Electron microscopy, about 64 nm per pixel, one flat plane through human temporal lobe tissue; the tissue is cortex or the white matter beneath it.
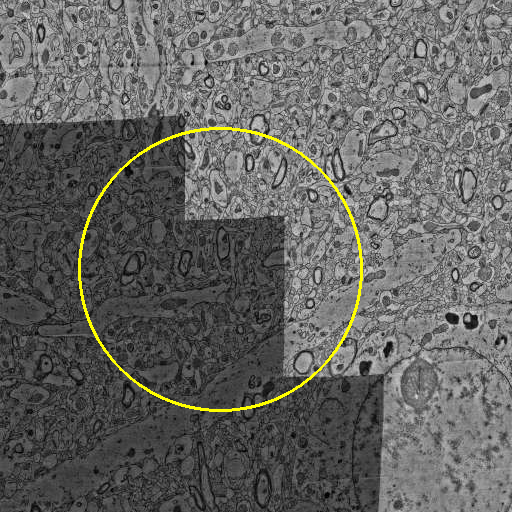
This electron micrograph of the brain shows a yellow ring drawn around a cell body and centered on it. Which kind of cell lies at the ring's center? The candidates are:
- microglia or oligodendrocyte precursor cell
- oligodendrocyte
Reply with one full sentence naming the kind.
The cell lying at the ring's center in this micrograph is a microglial cell or oligodendrocyte precursor cell.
